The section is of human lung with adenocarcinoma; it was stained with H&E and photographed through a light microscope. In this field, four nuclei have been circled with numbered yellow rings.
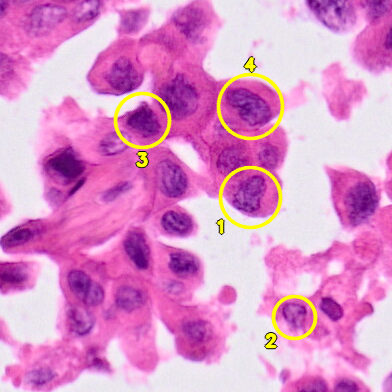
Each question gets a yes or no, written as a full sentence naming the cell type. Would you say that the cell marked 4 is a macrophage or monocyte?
No, cell 4 is not a macrophage or monocyte; it is a carcinoma cell.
